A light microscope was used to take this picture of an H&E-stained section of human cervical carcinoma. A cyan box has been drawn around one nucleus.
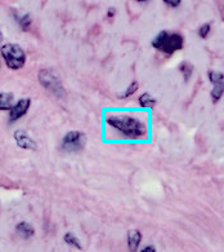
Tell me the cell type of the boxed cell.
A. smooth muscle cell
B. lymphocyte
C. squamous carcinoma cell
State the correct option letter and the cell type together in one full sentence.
The correct option here, B, identifies the boxed cell as a lymphocyte.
